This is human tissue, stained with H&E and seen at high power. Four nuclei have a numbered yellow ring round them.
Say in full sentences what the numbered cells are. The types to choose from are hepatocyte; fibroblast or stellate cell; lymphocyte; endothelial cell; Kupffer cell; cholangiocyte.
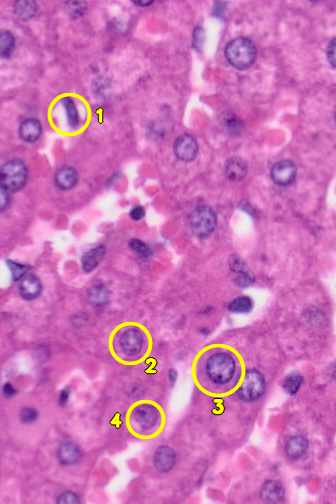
Cell 1 is a Kupffer cell, cell 2 is a hepatocyte, cell 3 is a hepatocyte and cell 4 is a hepatocyte.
